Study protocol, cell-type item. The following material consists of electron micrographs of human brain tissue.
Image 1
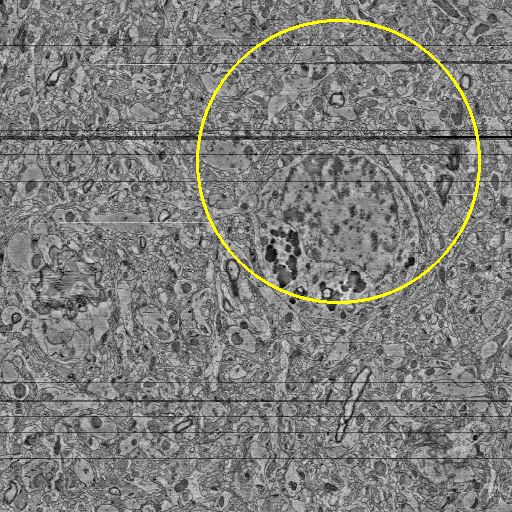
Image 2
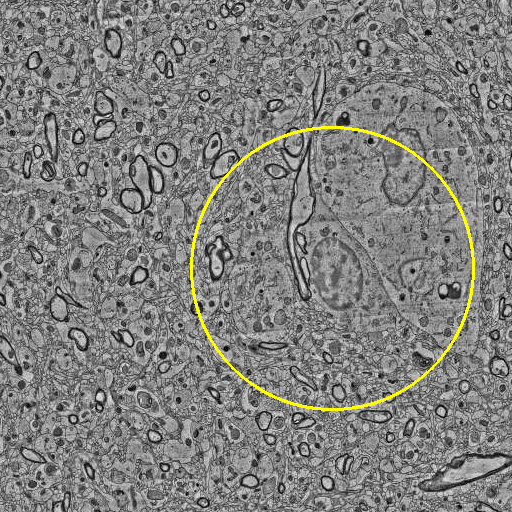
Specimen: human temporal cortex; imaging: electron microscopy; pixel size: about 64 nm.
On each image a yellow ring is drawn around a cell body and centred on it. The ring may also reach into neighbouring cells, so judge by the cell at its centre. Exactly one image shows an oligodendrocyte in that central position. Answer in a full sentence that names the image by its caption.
The cell at the centre of the ring in Image 2 is of that kind.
